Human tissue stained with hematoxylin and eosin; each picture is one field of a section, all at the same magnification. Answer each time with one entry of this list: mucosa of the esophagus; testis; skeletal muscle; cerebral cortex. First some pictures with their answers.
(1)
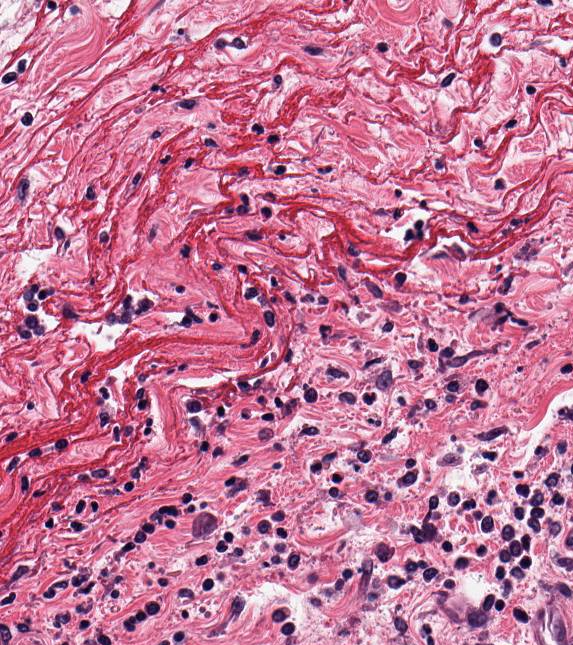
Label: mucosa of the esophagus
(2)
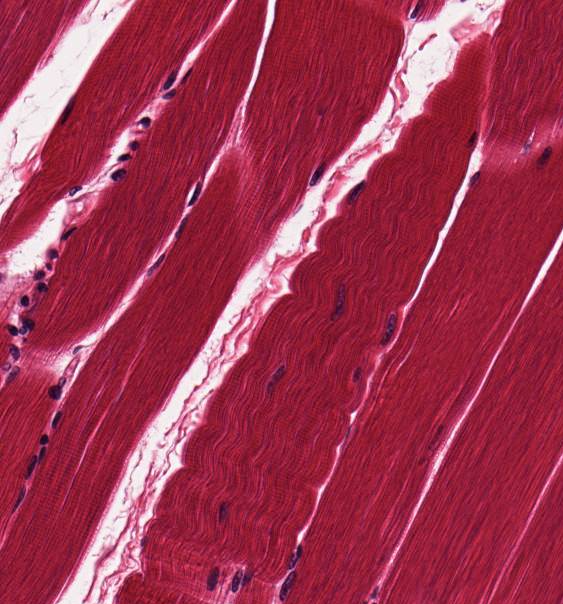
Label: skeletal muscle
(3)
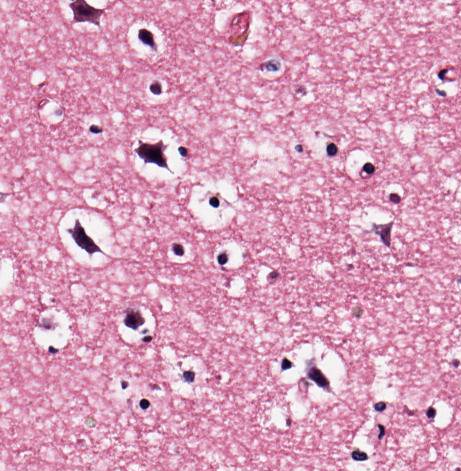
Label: cerebral cortex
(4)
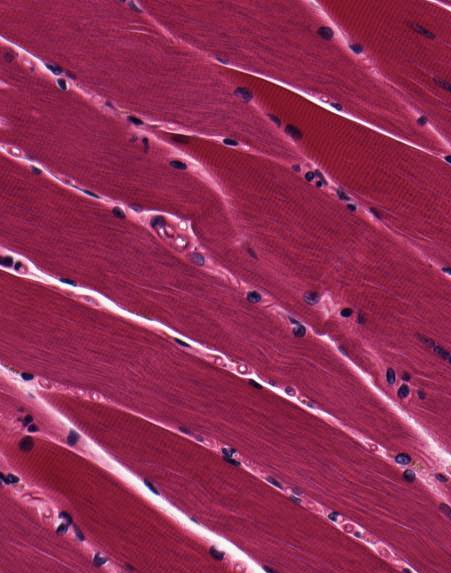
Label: skeletal muscle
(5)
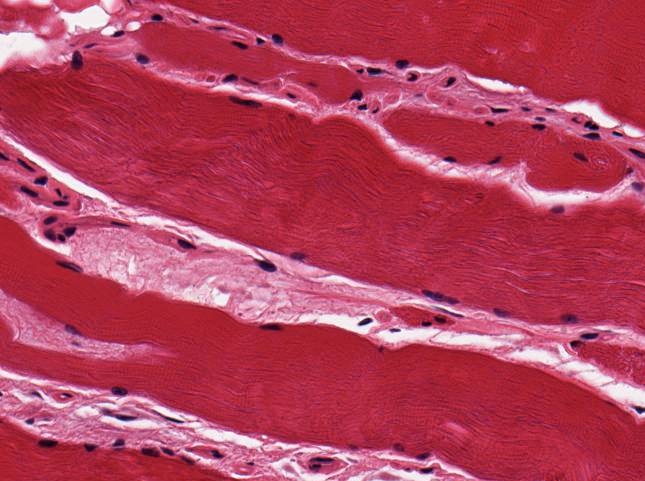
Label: skeletal muscle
